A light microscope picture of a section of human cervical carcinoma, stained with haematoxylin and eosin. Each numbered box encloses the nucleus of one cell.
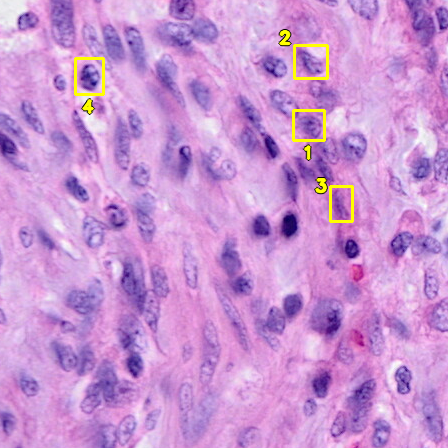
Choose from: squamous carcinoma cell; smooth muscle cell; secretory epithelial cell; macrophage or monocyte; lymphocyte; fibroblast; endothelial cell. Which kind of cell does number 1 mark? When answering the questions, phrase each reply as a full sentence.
Here the cell numbered 1 is an endothelial cell.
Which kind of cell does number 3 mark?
Marked with the number 3, this cell is an endothelial cell.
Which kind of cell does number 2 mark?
The expected answer is that cell 2 is an endothelial cell.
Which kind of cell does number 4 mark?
The cell that goes by number 4 is a lymphocyte.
